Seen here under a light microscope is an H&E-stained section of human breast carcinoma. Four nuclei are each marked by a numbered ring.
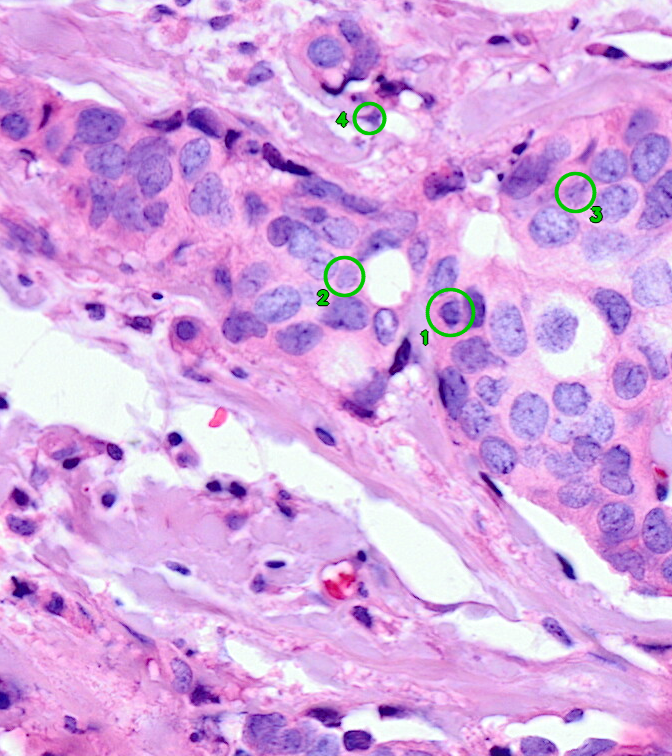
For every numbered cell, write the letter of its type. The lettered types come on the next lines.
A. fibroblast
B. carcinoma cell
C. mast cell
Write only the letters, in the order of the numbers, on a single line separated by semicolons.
B; B; B; A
